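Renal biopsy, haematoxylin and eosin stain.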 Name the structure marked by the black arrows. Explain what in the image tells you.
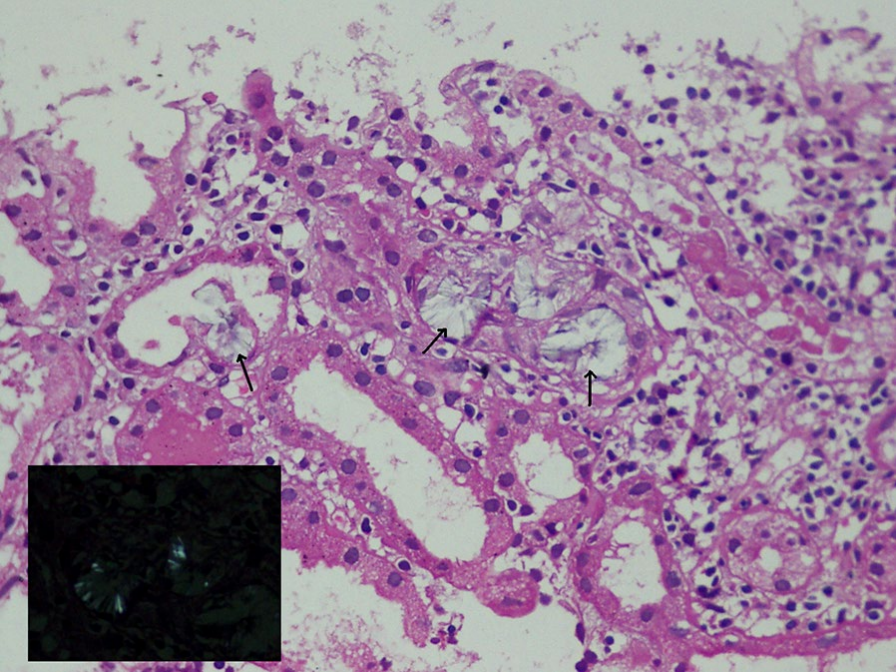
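Pale grey-violet, fan-shaped crystalline deposits with radiating streaks sit inside tubular lumina. The deposits are surrounded by tubular epithelial cells. In the dark inset the deposits shine bright and radiate.
Hence: oxalate crystals.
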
